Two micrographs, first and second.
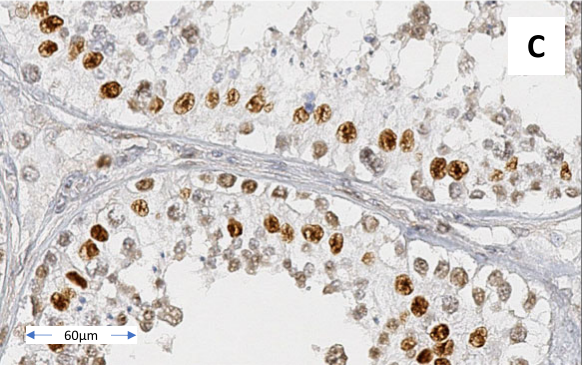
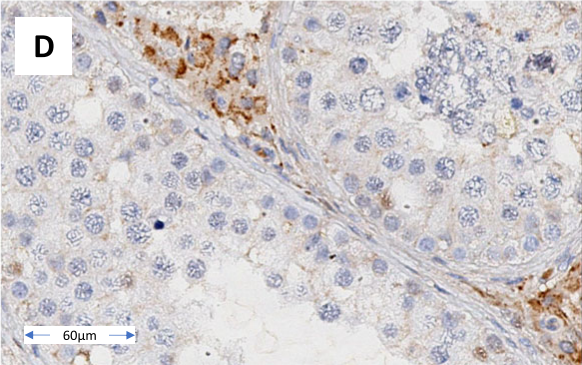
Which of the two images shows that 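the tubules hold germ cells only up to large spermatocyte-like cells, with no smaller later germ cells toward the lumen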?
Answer: The second image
